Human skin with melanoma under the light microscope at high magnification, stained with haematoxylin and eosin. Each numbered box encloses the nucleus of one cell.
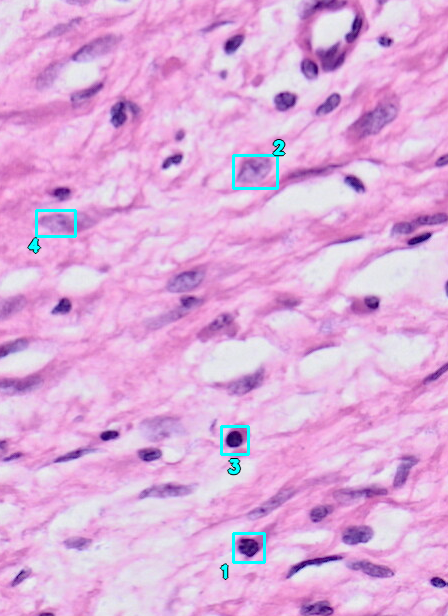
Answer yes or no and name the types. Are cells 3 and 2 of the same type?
No, cell 3 is a plasma cell and cell 2 is a fibroblast or myofibroblast.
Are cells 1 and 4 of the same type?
No, cell 1 is a plasma cell and cell 4 is a fibroblast or myofibroblast.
